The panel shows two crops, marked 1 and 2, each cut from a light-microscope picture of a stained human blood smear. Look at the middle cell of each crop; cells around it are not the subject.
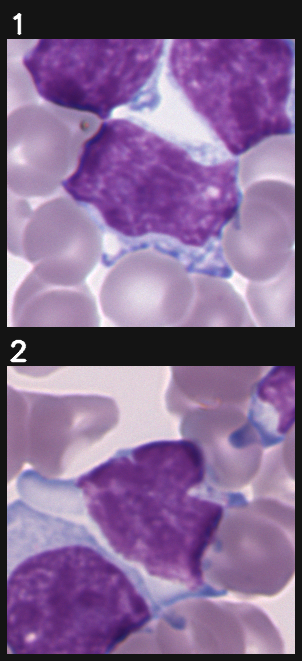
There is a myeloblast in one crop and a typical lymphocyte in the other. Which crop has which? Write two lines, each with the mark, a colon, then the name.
1: typical lymphocyte
2: myeloblast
